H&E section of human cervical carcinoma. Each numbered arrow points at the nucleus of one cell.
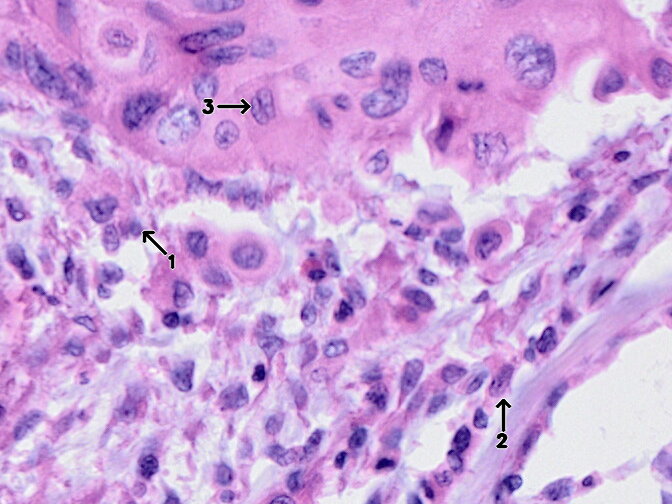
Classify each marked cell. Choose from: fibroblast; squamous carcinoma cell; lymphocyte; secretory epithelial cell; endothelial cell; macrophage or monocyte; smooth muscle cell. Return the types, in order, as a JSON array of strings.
["fibroblast", "macrophage or monocyte", "squamous carcinoma cell"]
